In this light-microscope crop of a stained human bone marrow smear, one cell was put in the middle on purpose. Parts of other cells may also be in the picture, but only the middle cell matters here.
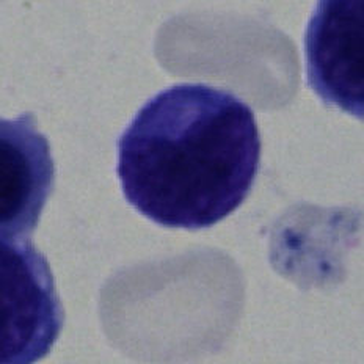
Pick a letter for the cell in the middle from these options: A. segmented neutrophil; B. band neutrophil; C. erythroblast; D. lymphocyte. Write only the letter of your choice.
D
